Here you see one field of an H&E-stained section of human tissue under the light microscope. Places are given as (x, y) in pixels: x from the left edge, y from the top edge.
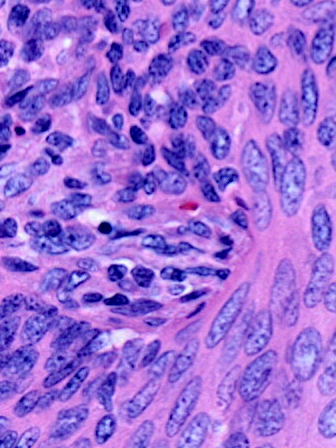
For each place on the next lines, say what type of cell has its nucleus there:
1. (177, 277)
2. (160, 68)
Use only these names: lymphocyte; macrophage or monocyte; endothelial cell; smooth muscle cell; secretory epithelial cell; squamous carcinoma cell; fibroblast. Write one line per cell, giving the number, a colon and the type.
1: lymphocyte
2: squamous carcinoma cell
